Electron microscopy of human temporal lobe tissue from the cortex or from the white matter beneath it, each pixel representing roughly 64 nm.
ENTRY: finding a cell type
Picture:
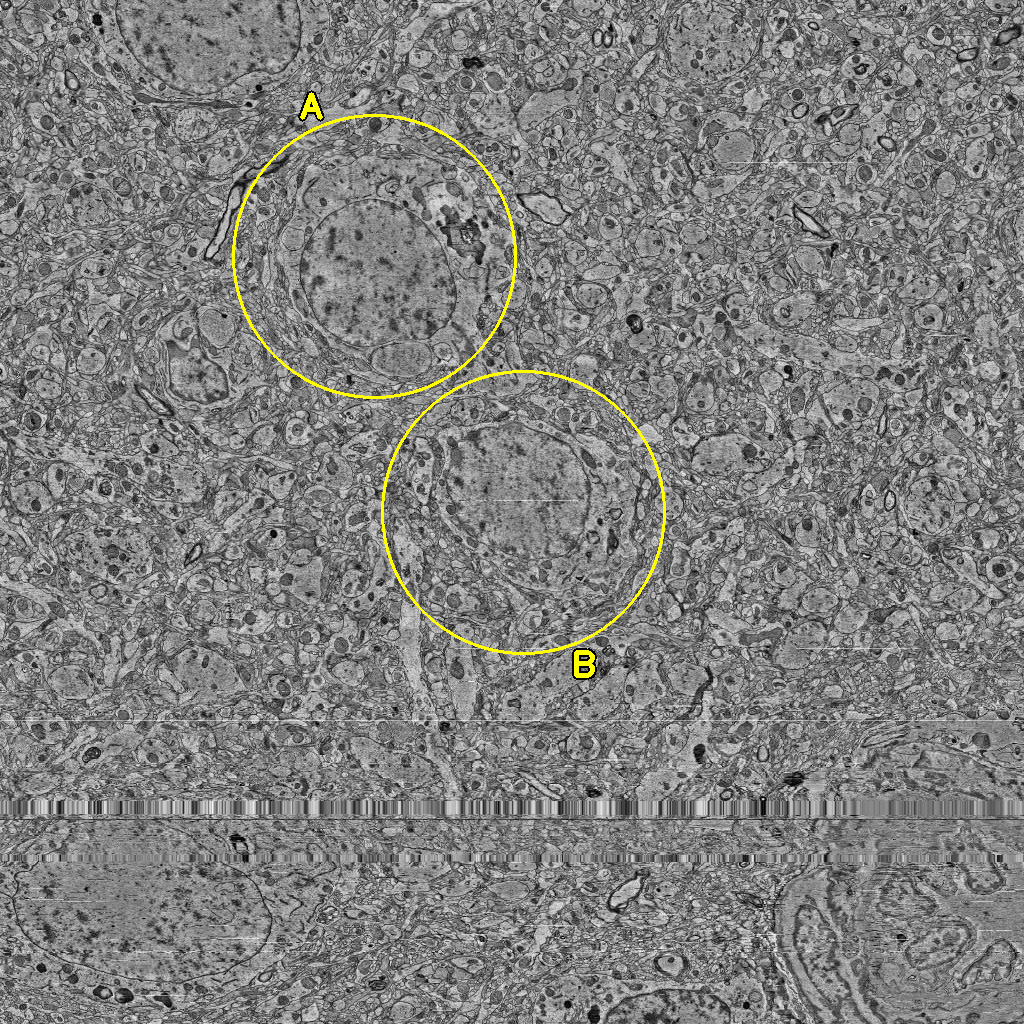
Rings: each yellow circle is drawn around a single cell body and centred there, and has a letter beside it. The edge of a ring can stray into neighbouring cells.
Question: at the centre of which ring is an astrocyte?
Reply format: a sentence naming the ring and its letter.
The answer is ring A, the one centred on the cell asked for.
